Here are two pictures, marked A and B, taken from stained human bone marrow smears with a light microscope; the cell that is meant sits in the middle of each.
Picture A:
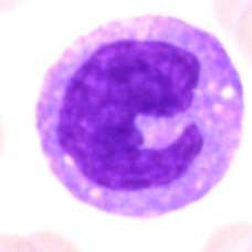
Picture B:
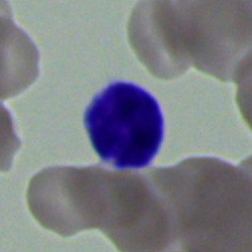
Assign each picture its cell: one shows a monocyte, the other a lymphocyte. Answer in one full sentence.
Picture A shows a monocyte and picture B shows a lymphocyte.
